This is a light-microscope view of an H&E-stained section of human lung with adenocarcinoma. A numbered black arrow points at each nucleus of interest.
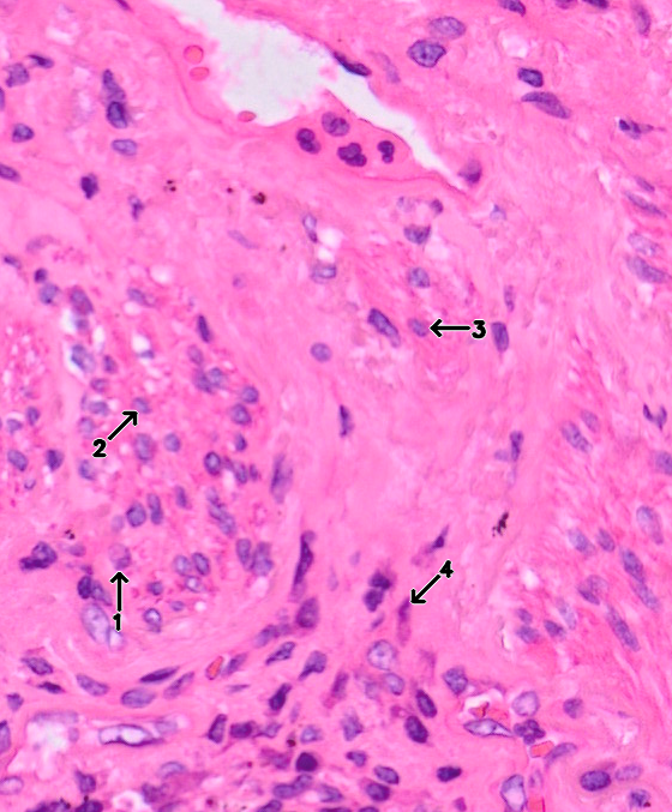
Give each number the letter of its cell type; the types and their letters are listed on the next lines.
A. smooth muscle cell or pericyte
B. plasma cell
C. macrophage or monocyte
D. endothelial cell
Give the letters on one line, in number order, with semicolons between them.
A; A; A; B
